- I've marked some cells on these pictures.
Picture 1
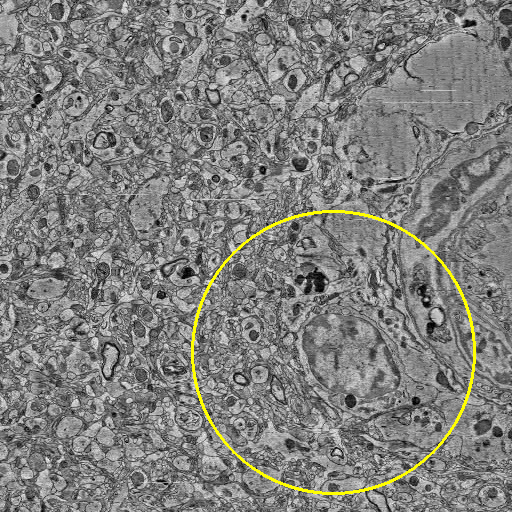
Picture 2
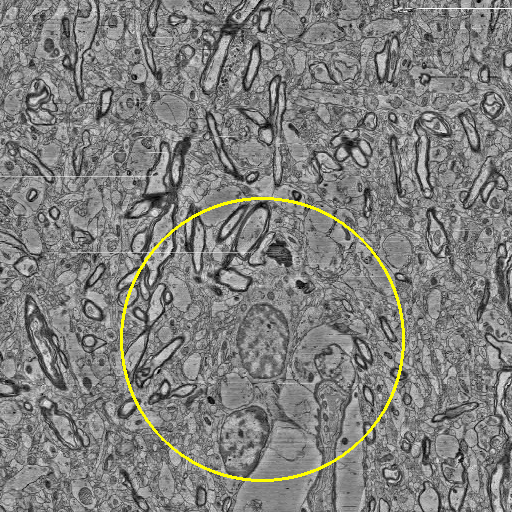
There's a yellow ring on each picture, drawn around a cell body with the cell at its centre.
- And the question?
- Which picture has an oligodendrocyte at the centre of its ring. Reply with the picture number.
2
